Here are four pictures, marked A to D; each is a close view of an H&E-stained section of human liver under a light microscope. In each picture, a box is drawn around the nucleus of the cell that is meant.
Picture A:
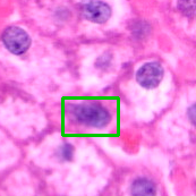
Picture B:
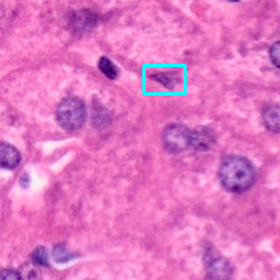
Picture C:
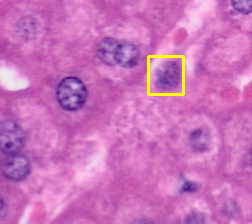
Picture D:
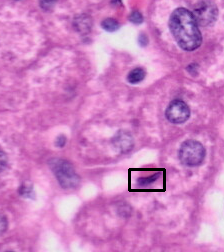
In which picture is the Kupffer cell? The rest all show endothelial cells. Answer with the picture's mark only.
C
